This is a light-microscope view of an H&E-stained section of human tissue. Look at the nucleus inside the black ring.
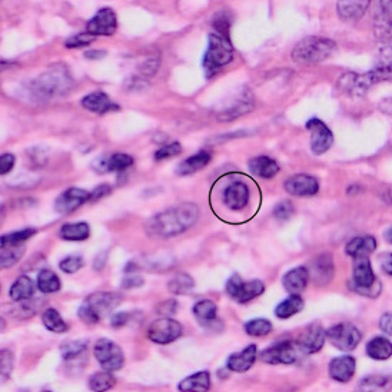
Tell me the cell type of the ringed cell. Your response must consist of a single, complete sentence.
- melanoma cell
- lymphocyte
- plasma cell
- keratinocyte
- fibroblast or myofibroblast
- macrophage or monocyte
In the context of this tissue, the ringed cell is a plasma cell.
